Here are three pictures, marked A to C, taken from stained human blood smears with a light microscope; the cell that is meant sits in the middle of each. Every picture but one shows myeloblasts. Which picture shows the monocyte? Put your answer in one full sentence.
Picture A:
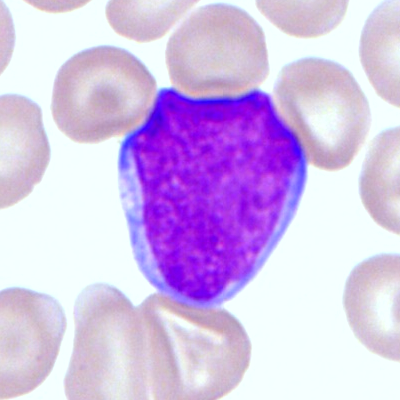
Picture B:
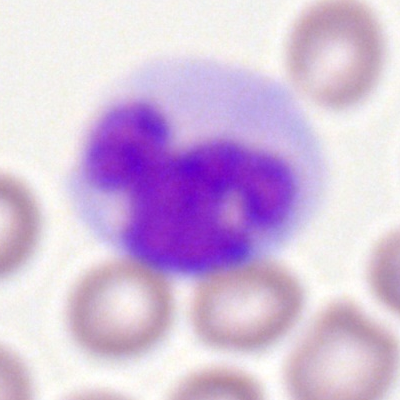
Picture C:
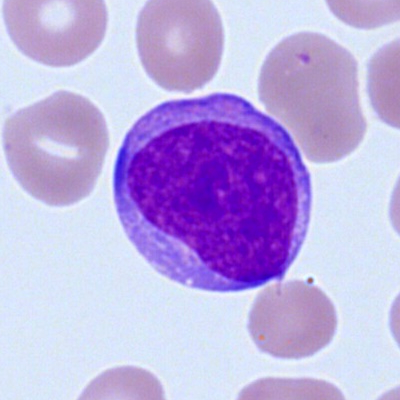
The picture with the monocyte is B.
